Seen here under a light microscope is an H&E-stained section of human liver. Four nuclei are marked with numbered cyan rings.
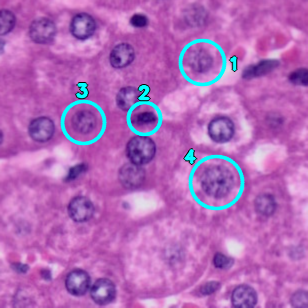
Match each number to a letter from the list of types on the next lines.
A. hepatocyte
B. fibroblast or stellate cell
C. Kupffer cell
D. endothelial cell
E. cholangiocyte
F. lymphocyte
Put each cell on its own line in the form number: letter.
1: A
2: B
3: A
4: A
